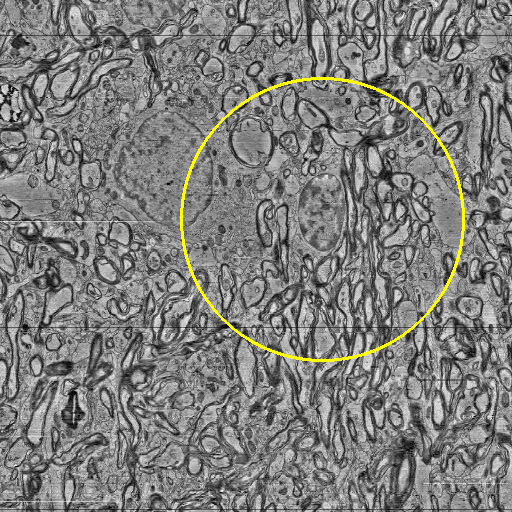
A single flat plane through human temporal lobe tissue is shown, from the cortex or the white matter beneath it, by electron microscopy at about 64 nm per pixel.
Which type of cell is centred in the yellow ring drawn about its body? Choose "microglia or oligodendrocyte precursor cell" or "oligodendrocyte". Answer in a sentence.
The yellow ring surrounds the cell body of a microglial cell or oligodendrocyte precursor cell.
